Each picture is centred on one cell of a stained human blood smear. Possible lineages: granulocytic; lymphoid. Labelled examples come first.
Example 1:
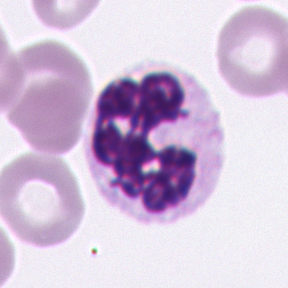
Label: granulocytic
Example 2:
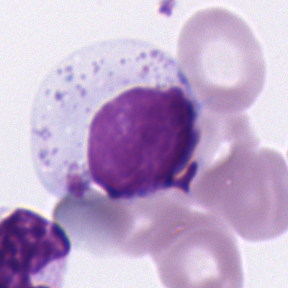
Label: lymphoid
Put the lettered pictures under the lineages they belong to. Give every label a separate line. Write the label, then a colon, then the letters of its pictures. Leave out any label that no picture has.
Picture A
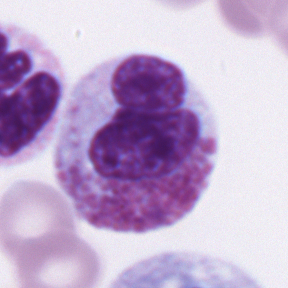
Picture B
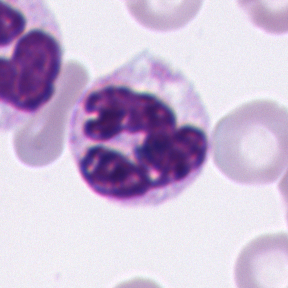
granulocytic: A, B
